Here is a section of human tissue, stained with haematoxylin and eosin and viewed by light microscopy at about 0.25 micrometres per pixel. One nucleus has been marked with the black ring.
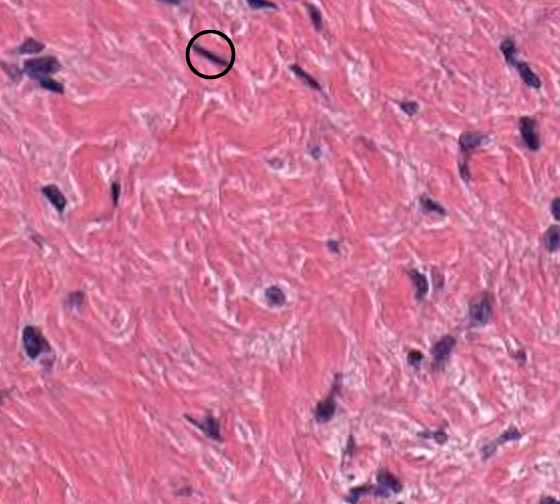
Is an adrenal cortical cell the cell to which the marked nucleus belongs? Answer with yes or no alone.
no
